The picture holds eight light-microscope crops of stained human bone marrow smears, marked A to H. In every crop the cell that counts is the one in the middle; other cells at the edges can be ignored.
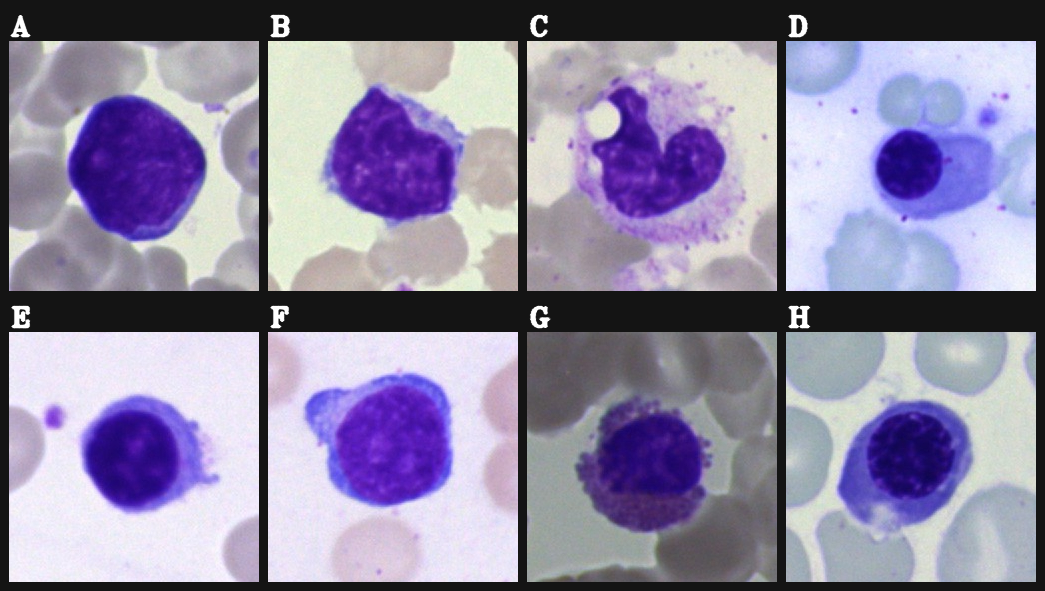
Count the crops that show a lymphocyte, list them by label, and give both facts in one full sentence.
In this set, lymphocytes occur in three crops: B, E and F.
